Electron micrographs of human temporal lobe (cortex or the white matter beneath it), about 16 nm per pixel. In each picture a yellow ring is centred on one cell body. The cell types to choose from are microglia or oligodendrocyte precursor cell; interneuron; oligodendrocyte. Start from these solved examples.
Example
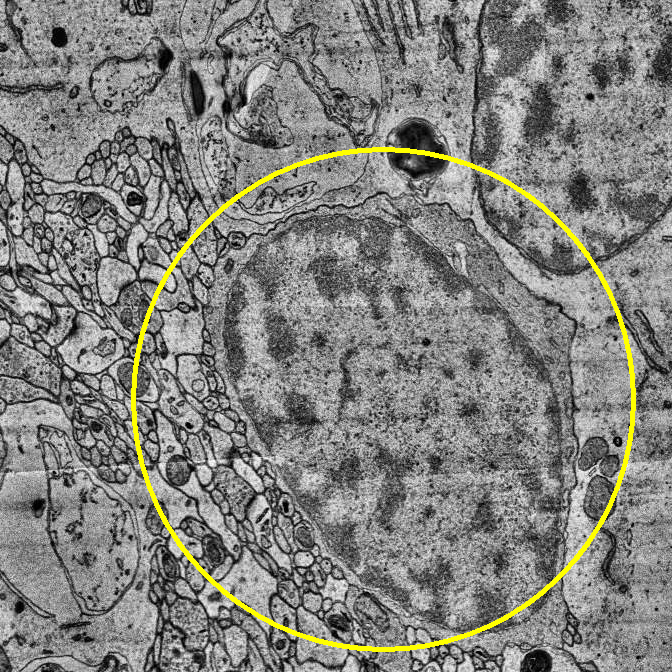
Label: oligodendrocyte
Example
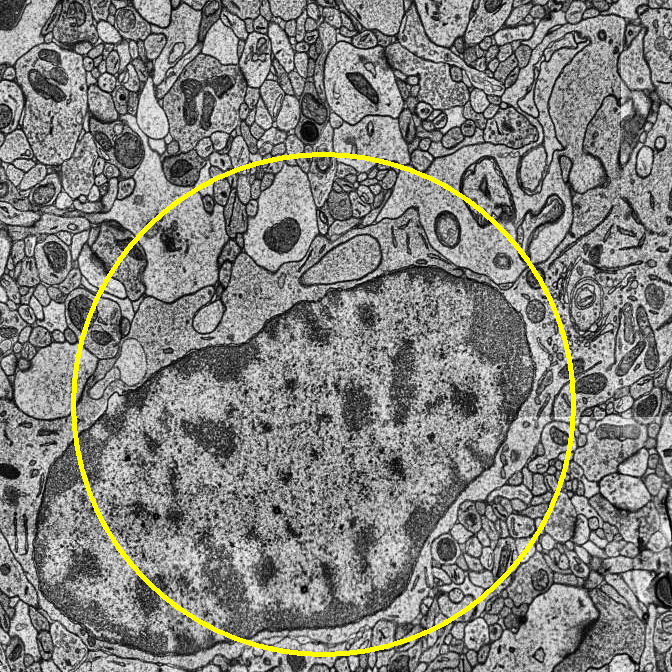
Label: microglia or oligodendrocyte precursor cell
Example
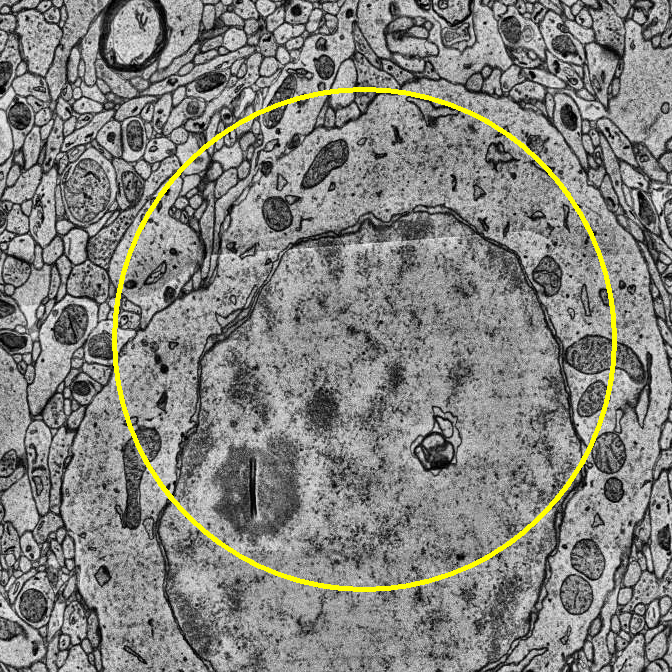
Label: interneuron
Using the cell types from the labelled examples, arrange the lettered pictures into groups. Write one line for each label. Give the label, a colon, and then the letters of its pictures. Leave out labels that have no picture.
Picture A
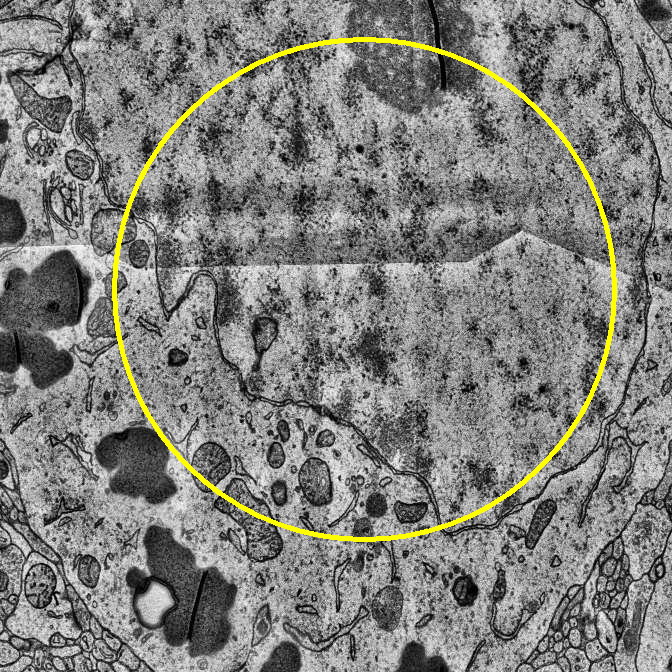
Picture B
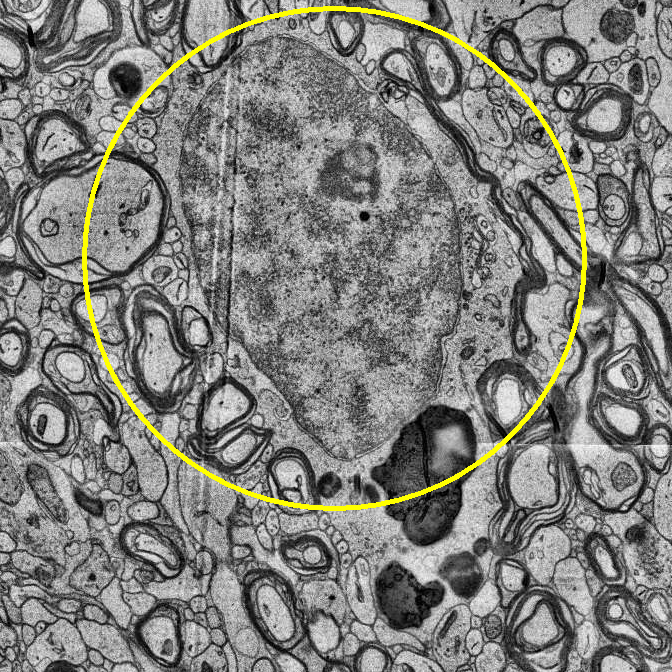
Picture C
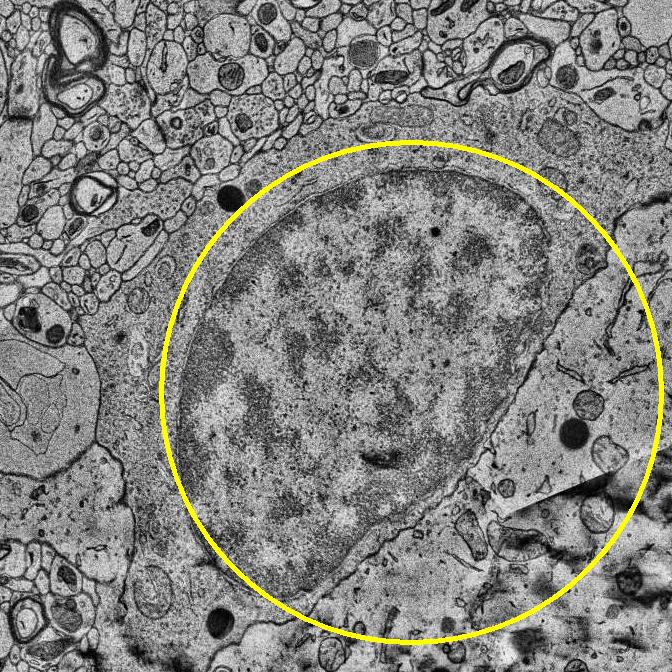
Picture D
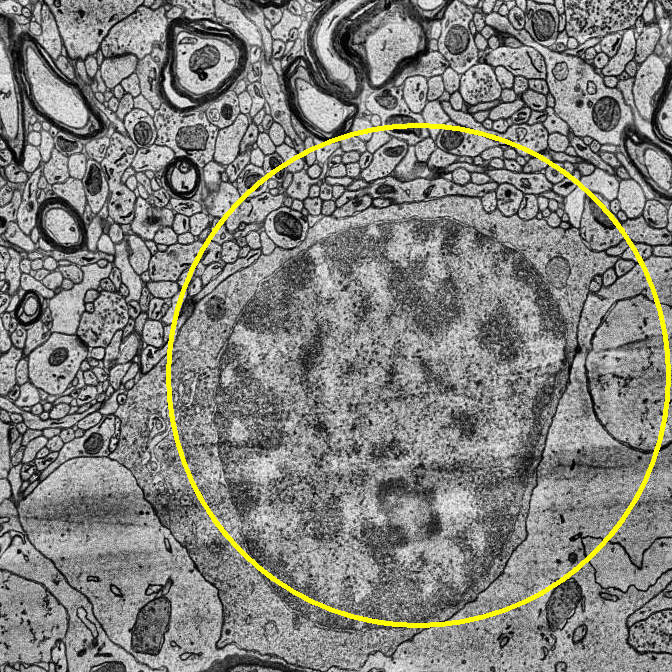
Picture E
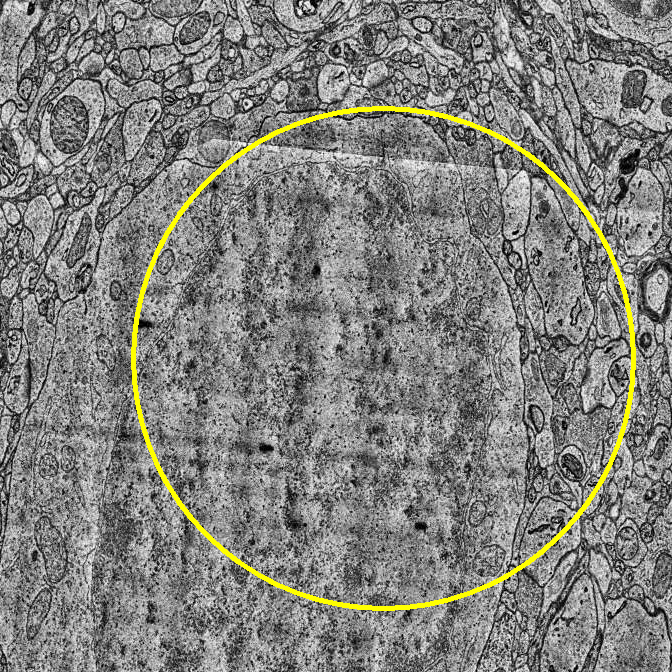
interneuron: A, E
oligodendrocyte: B, C, D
